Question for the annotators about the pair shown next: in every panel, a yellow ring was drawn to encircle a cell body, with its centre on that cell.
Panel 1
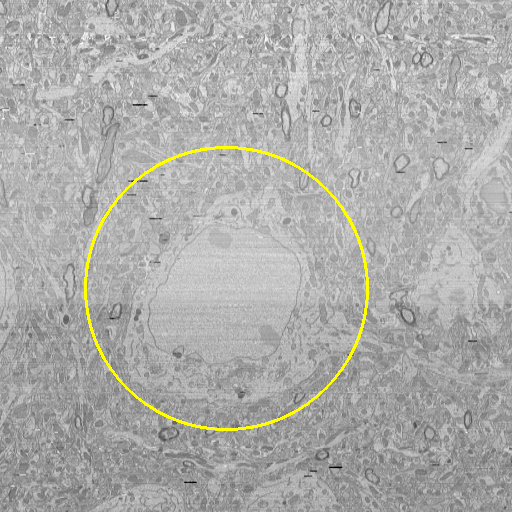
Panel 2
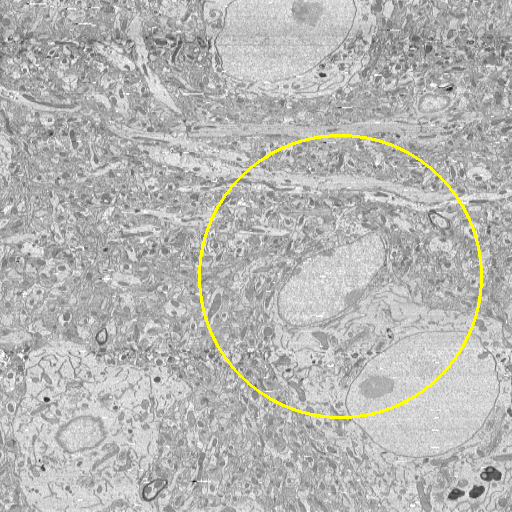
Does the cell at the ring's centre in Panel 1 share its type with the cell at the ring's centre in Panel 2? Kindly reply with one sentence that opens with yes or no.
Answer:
No, in Panels 1 and 2 the cells at the ring centres belong to separate types.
